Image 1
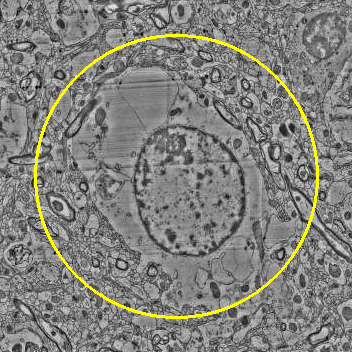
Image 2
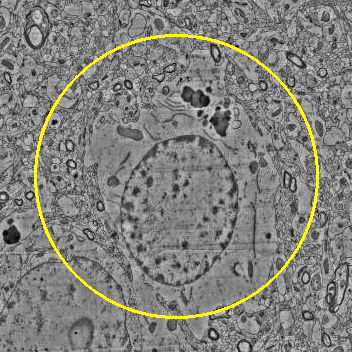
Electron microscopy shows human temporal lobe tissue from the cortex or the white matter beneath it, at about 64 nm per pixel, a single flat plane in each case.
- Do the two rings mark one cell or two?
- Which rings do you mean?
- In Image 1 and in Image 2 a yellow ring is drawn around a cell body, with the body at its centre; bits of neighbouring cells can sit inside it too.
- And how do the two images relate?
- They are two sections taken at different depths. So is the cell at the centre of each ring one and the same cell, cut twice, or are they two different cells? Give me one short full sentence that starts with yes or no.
No, the two yellow rings each circle a different cell.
